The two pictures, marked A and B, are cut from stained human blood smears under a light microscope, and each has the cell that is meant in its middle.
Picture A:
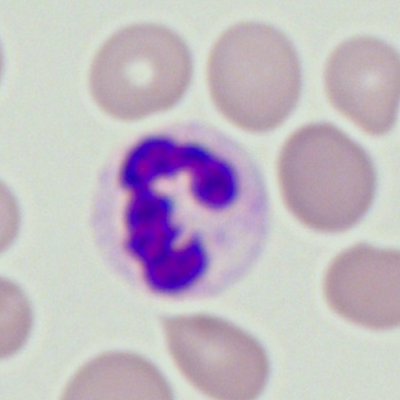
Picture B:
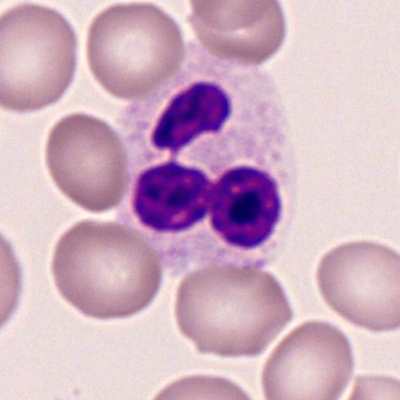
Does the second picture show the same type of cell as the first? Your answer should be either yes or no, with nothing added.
yes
